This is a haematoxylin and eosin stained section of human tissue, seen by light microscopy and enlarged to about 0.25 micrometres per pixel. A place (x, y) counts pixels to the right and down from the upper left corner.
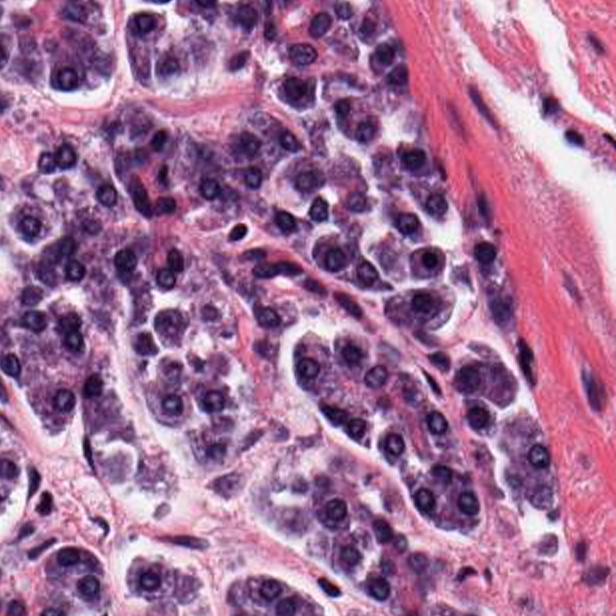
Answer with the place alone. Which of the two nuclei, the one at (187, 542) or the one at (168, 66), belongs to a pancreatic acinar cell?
(168, 66)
